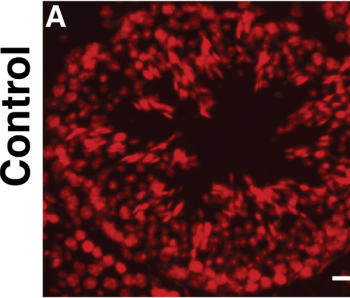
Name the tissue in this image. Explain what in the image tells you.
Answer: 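A round tubule cross-section with a central lumen. Many layers of nuclei lining the tubule wall. Elongated, condensed nuclei point toward the lumen.
Answer: testes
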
